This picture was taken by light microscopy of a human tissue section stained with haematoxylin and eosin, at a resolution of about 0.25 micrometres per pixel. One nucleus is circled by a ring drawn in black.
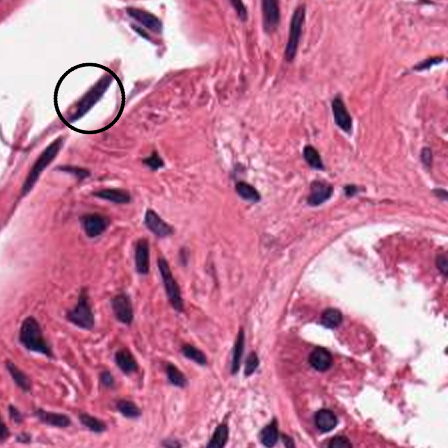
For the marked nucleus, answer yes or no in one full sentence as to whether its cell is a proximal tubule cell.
No, the marked nucleus is assigned not to a proximal tubule cell but to a supporting cell.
